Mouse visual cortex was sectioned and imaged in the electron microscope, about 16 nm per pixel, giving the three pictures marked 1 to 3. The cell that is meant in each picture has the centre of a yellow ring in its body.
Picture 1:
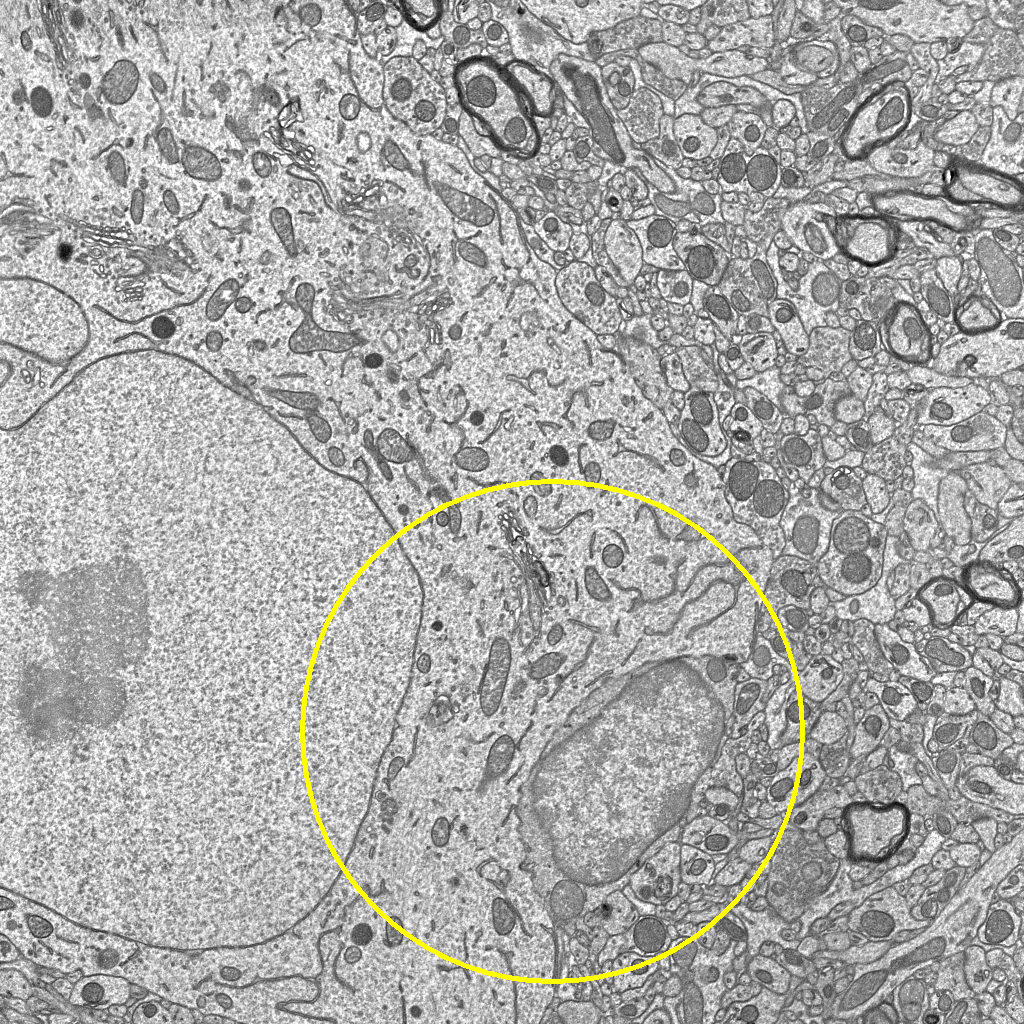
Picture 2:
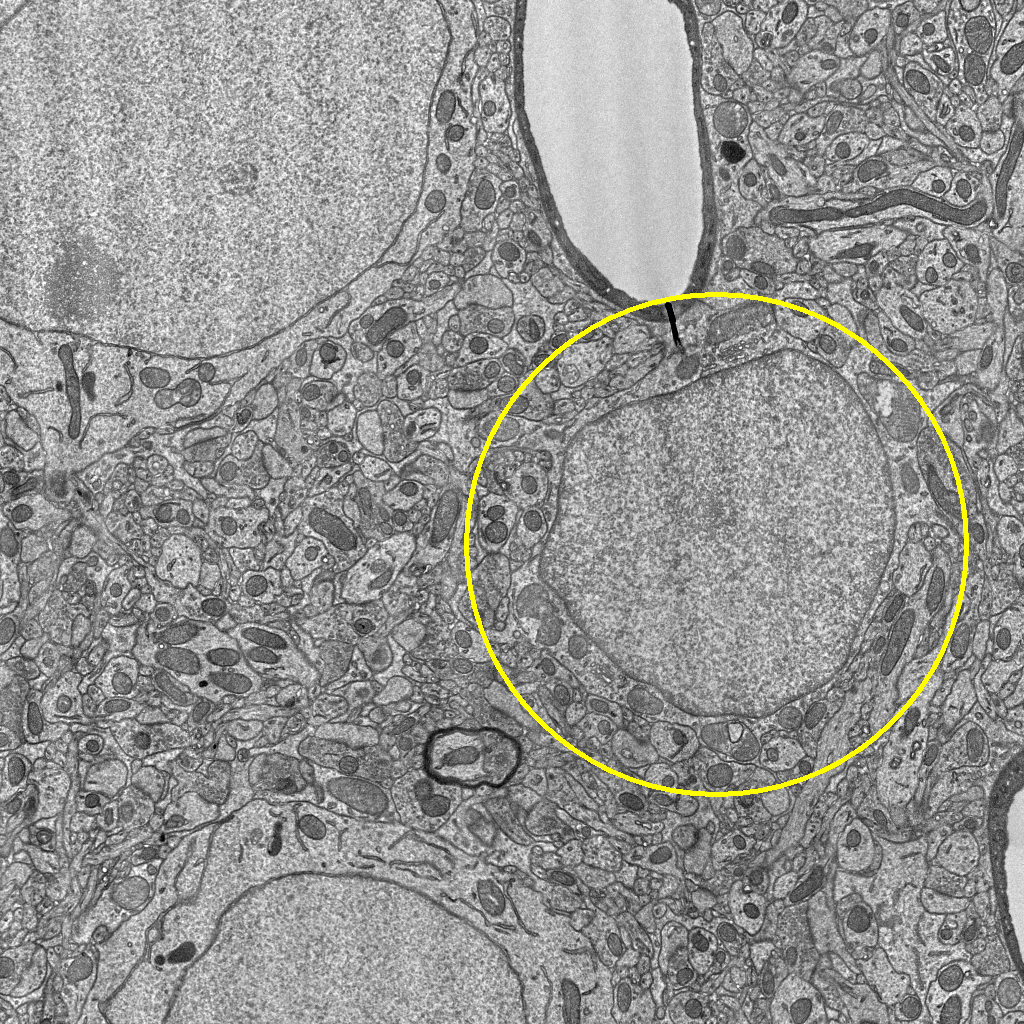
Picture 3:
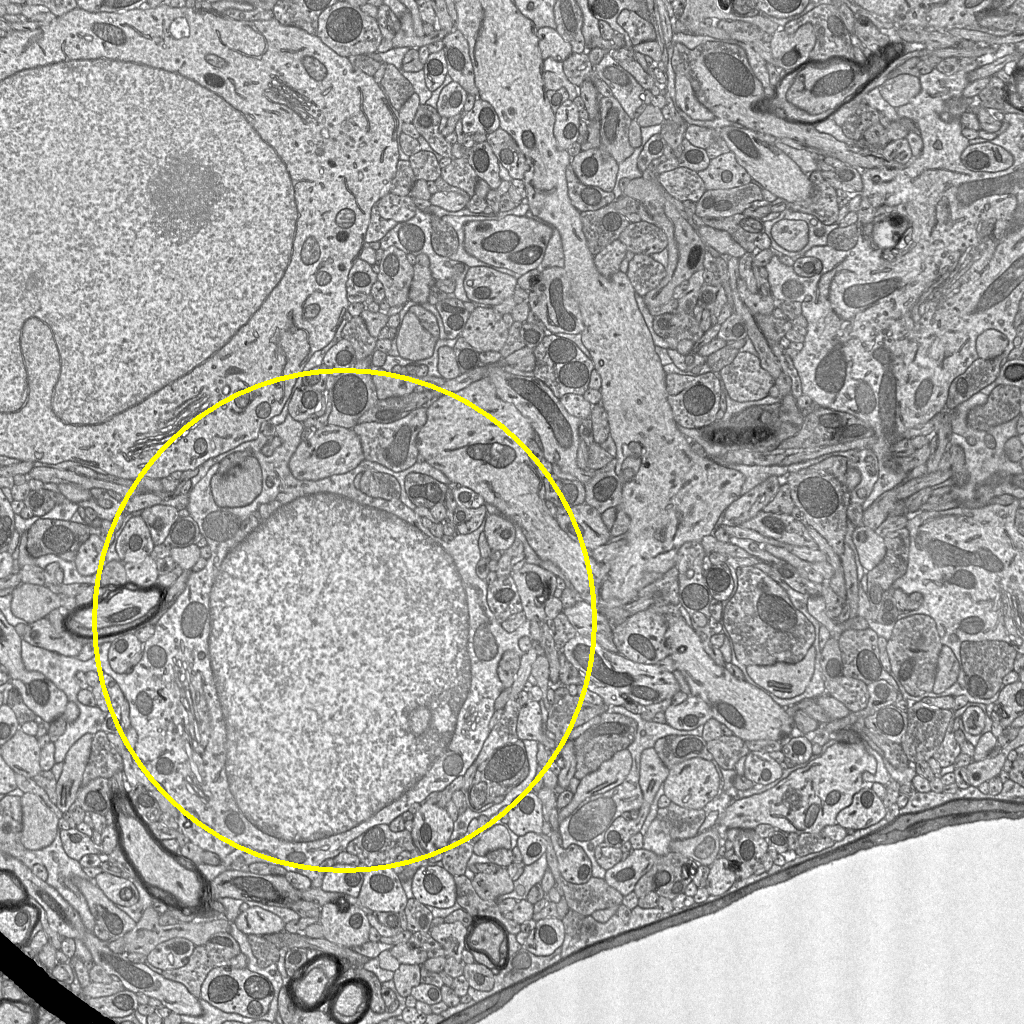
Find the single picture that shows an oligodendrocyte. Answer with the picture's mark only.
1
